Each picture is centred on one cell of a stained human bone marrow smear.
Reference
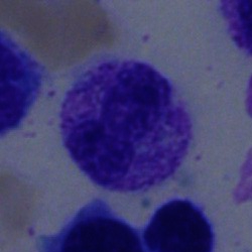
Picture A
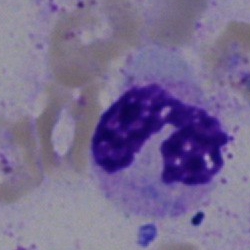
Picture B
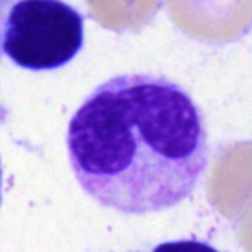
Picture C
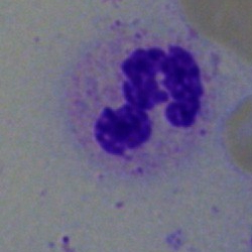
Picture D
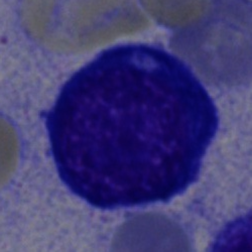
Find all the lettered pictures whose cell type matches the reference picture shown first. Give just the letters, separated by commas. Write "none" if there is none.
B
